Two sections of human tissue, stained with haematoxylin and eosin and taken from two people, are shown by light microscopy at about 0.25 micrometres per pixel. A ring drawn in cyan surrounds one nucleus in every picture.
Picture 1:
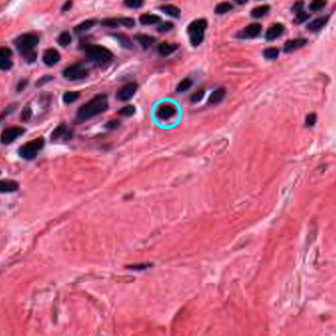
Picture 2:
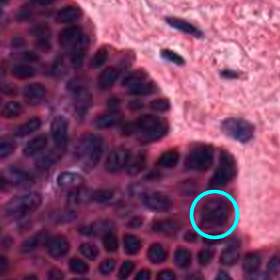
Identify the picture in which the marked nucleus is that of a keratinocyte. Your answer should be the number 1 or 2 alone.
2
